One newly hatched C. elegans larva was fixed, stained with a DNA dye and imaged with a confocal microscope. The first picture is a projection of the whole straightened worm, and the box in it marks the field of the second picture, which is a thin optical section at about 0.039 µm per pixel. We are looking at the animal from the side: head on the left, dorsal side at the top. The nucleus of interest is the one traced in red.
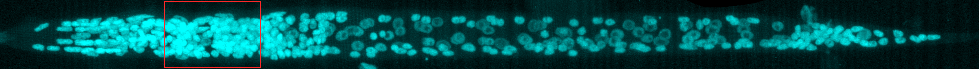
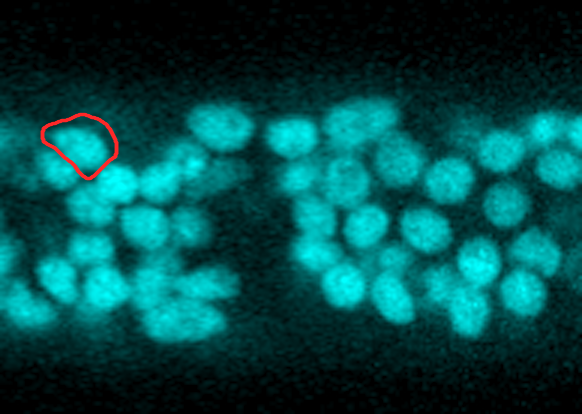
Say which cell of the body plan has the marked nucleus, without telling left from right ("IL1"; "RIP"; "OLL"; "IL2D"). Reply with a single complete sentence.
The marked nucleus belongs to IL2D, a neuron.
